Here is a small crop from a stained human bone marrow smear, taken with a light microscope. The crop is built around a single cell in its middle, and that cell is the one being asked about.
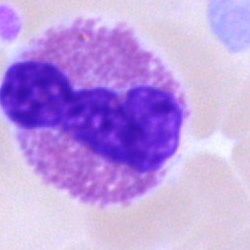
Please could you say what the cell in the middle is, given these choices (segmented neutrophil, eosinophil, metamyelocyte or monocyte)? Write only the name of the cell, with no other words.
eosinophil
